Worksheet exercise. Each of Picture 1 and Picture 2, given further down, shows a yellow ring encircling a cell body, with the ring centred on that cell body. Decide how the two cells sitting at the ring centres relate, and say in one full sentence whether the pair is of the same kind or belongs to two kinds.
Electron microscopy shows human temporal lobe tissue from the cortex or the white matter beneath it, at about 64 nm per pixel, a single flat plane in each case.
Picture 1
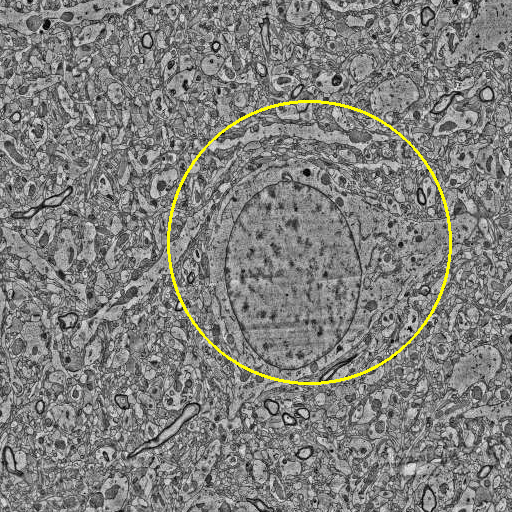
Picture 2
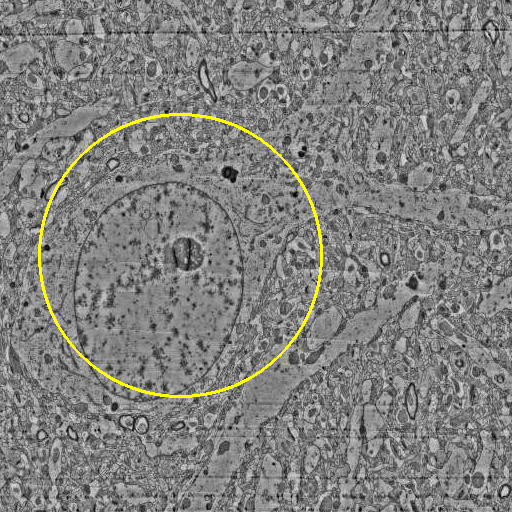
The cells at the ring centres in Picture 1 and Picture 2 are of the same kind.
